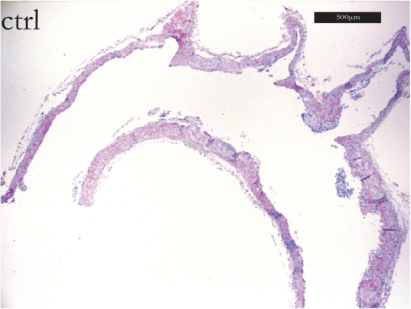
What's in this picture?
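This low-power section shows the curved wall of the aortic arch with the openings of branching arteries along its upper side. The wall stains pink to purple and appears as a thin band of layered tissue. Loose, lightly stained connective tissue surrounds the outer side of the vessel. Individual cells cannot be made out at this magnification; only the layout of the wall is visible.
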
